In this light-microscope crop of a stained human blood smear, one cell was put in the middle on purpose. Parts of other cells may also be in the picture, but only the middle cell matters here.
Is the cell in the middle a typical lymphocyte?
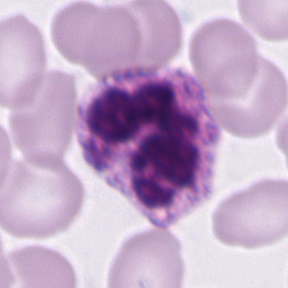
no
